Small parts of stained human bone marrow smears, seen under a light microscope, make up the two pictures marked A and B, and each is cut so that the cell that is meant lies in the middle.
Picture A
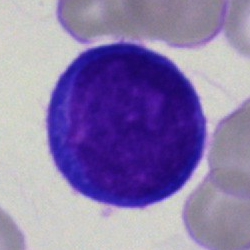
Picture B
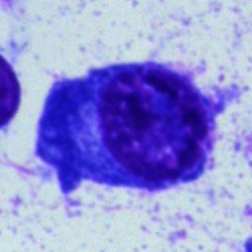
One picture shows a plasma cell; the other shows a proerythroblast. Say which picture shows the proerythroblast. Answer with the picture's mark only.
A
